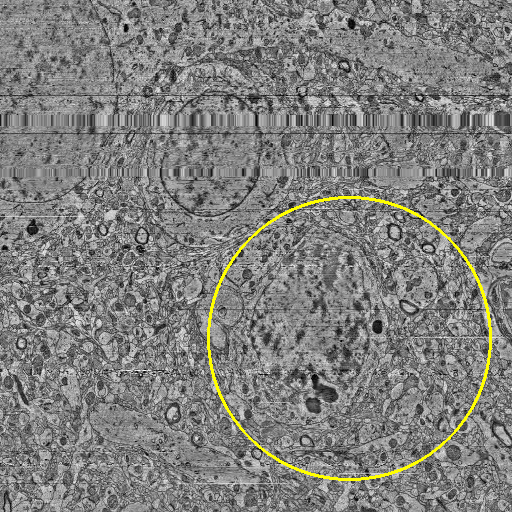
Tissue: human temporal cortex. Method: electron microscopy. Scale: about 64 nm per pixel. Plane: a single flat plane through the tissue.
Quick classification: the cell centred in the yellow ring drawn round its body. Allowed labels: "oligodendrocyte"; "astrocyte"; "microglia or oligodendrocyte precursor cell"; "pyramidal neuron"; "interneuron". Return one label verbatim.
interneuron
